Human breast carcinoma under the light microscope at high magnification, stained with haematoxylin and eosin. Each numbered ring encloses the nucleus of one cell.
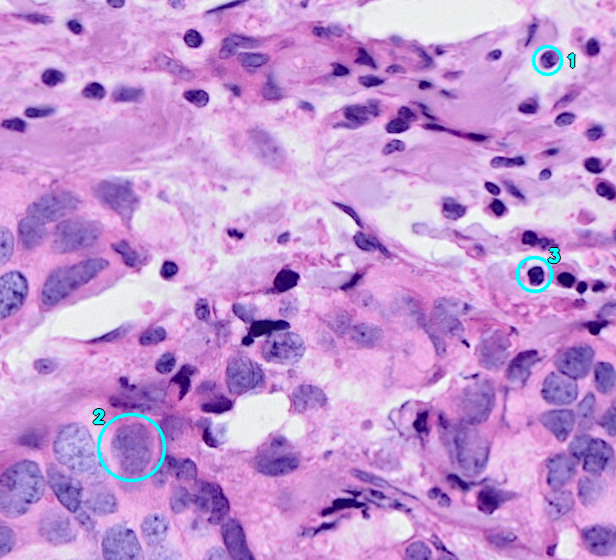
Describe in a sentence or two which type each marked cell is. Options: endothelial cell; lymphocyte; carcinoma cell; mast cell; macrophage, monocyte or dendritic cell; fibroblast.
Cell 1 is a lymphocyte, cell 2 is a carcinoma cell and cell 3 is a lymphocyte.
